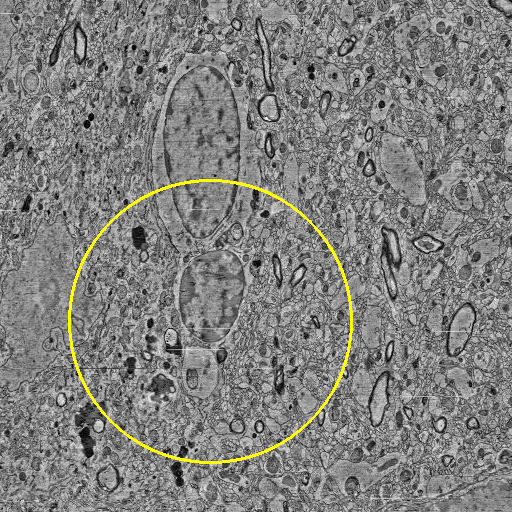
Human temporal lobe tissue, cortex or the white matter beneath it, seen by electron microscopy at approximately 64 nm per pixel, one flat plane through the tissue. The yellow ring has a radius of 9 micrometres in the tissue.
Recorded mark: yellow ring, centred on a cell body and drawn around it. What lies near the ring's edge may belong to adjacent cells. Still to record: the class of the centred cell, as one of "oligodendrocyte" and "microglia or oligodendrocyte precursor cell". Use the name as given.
microglia or oligodendrocyte precursor cell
